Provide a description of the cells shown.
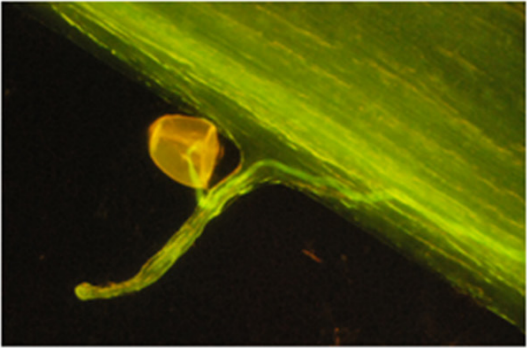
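A single pollen grain with its pollen tube lies at the edge of a long strand of tissue that crosses the field diagonally. The grain is roughly round, with an orange-fluorescing wall, and sits against the margin of the tissue. A bright green tube leaves the grain and runs along the tissue margin, with one part bending away and ending in a rounded, swollen tip. The tissue fluoresces yellow-green and shows fine longitudinal striations running along its length. The background outside the tissue is dark.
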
